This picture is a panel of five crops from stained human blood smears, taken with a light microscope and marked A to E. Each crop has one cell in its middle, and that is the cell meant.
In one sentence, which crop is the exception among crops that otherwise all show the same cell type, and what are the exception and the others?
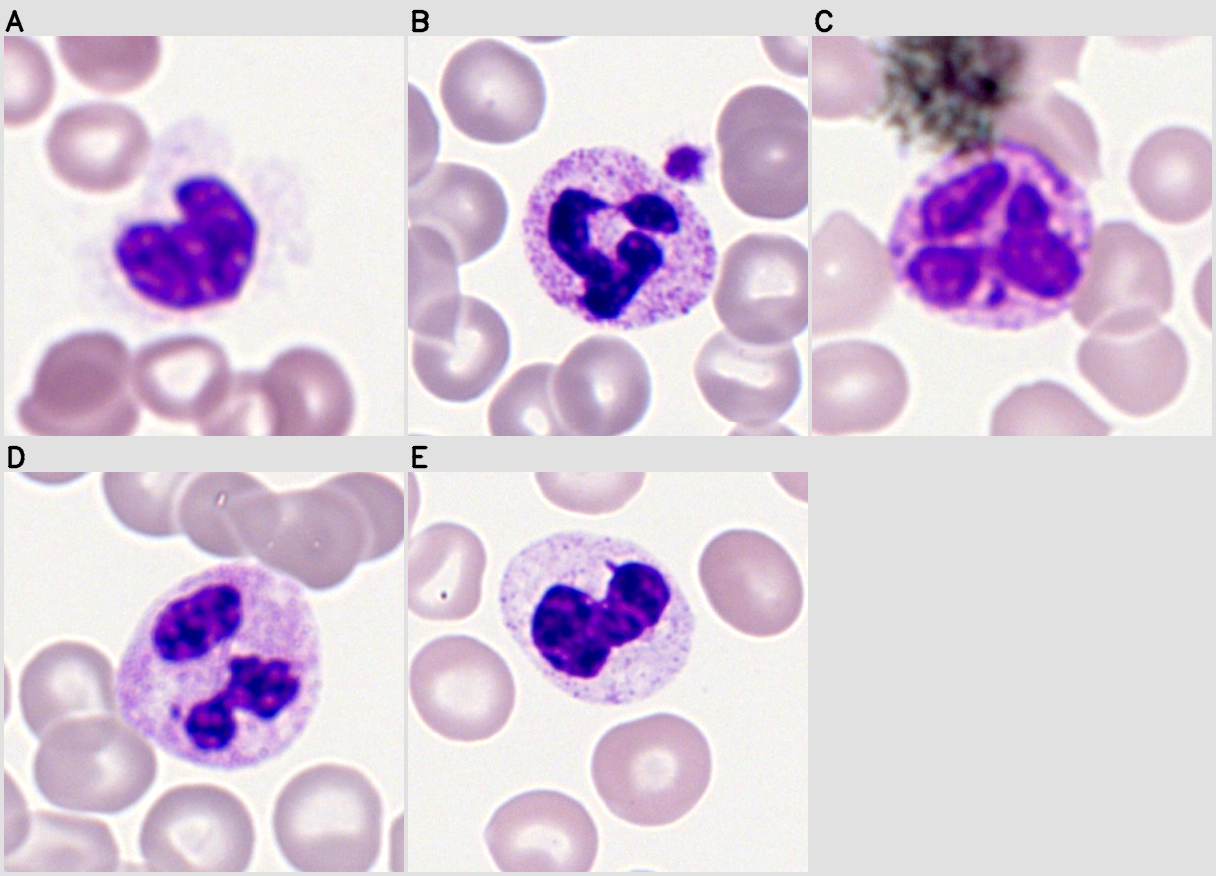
The exception is crop C, with a basophil; the remaining crops all show segmented neutrophils.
